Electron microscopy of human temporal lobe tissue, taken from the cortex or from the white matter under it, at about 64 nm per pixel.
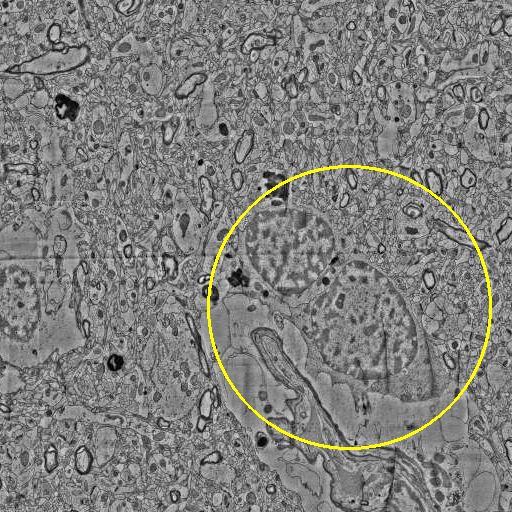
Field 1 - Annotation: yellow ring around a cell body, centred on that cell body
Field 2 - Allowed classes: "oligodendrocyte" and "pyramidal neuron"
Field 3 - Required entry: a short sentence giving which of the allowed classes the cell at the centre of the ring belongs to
The centred cell is an oligodendrocyte.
